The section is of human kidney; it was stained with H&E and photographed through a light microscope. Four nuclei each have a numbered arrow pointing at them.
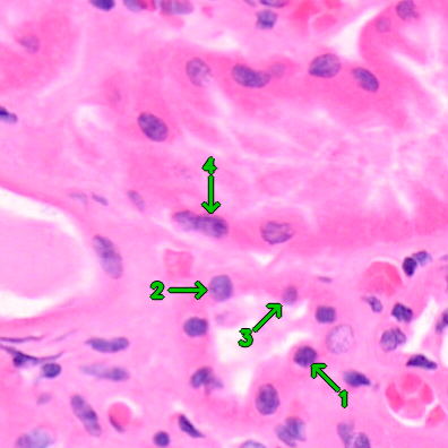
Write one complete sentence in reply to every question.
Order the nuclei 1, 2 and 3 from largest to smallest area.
From largest to smallest, the order is 2, 1, 3.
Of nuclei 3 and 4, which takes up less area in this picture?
Nucleus 3 covers less area, with nucleus 4 about 2 times as large.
